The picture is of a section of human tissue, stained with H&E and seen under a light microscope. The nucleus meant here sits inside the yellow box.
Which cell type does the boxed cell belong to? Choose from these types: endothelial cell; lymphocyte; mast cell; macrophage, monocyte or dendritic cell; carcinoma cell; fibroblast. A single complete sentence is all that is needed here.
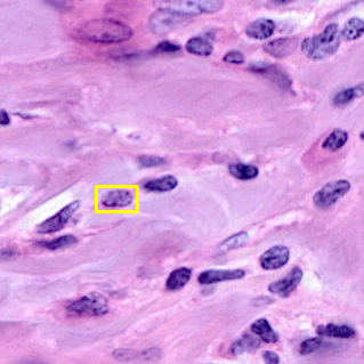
By cell type, the boxed cell is a mast cell.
